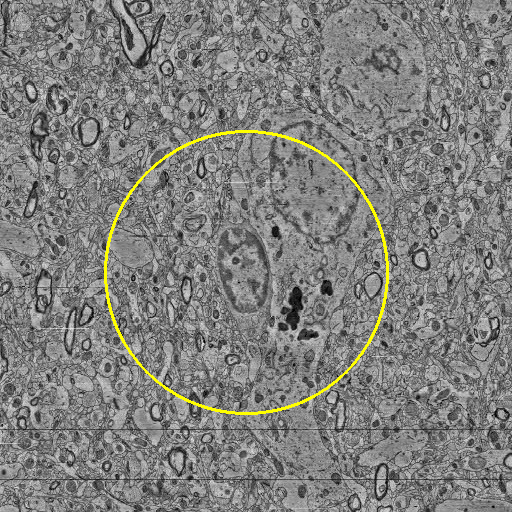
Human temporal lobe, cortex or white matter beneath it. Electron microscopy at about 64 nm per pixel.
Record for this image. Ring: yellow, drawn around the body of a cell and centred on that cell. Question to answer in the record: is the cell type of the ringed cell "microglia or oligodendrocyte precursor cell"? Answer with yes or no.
no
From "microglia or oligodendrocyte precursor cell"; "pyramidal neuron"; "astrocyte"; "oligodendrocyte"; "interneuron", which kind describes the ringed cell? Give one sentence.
The correct answer is that the cell is an oligodendrocyte.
